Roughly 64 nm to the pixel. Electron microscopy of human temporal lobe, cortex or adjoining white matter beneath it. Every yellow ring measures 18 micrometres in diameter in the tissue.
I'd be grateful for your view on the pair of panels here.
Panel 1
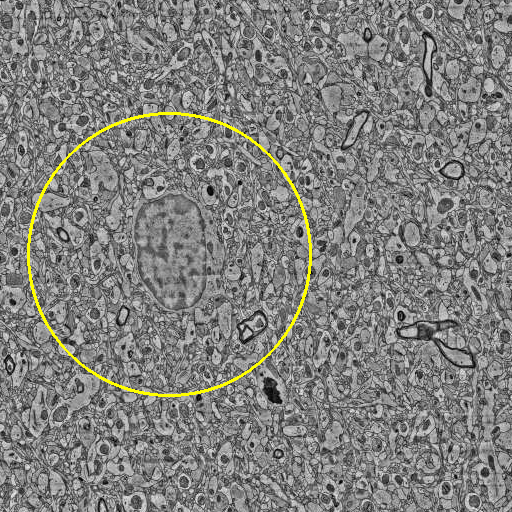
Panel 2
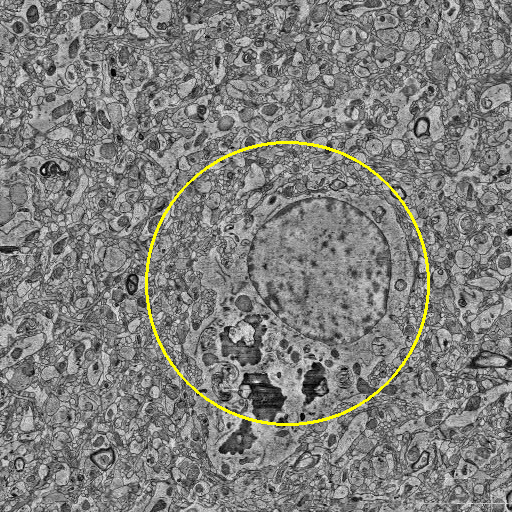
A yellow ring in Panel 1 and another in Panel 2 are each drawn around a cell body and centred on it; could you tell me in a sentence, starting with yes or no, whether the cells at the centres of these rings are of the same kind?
No, they are two kinds of cell.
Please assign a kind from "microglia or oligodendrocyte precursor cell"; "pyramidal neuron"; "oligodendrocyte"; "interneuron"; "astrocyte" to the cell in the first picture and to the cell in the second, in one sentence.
In the first picture we have an oligodendrocyte, and in the second, an astrocyte.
